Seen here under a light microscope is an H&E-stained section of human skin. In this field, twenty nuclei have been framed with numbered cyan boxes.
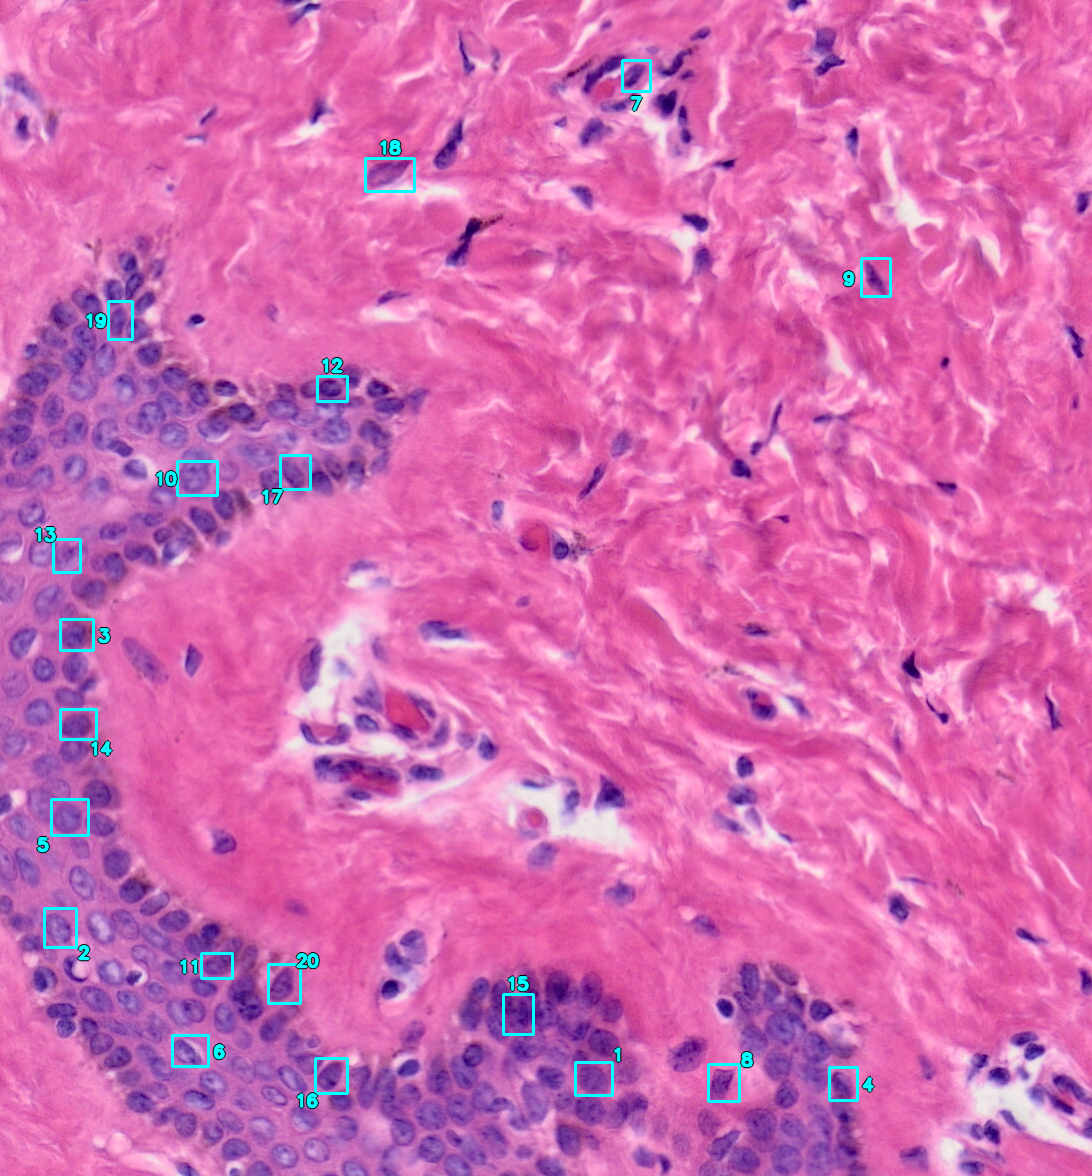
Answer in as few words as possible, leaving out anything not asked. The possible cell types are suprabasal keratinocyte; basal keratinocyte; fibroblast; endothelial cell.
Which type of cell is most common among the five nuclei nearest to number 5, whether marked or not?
basal keratinocyte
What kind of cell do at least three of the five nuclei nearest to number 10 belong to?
suprabasal keratinocyte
